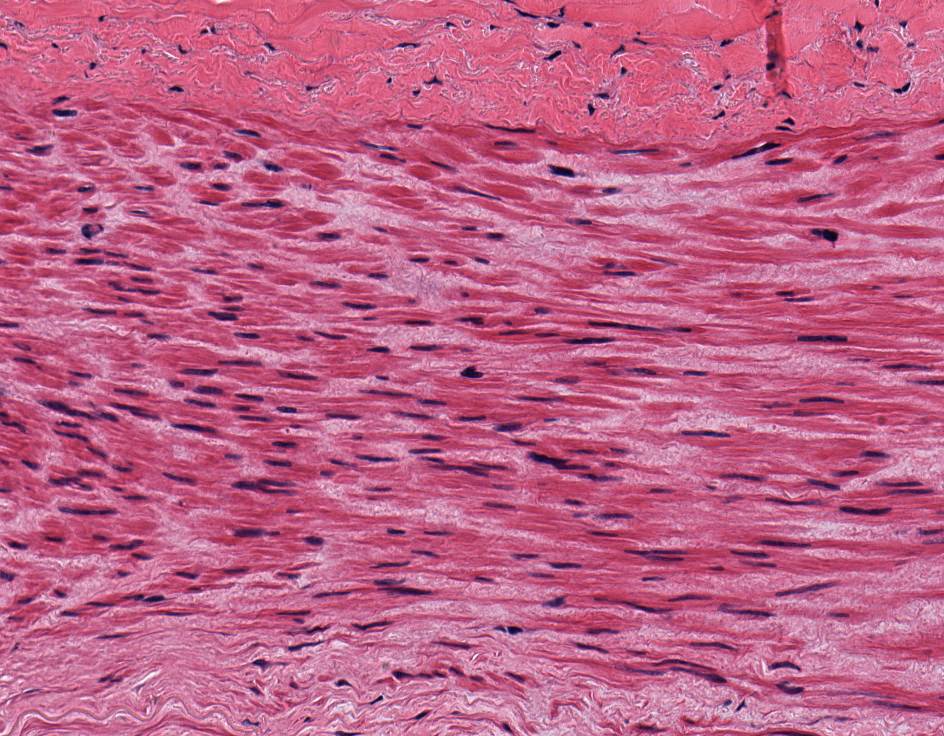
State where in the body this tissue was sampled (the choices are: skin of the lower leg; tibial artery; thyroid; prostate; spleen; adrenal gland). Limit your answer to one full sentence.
The tissue fragment was taken from the tibial artery.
